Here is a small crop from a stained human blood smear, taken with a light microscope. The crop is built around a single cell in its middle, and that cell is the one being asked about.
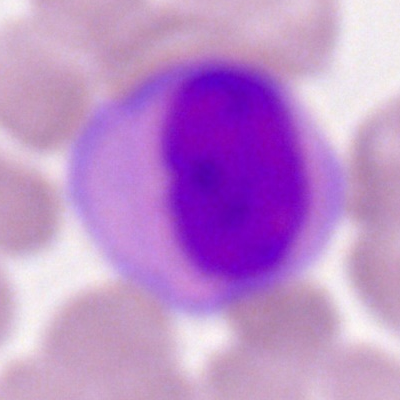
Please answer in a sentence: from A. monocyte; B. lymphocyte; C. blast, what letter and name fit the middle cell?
According to option C, which is correct, the cell in the middle is a blast.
